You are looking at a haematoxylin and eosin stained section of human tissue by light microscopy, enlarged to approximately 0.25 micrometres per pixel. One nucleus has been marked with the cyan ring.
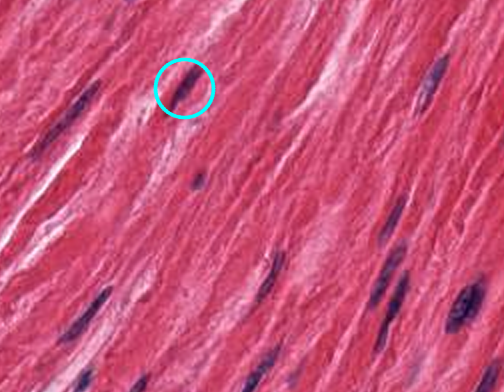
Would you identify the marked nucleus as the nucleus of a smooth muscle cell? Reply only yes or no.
yes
